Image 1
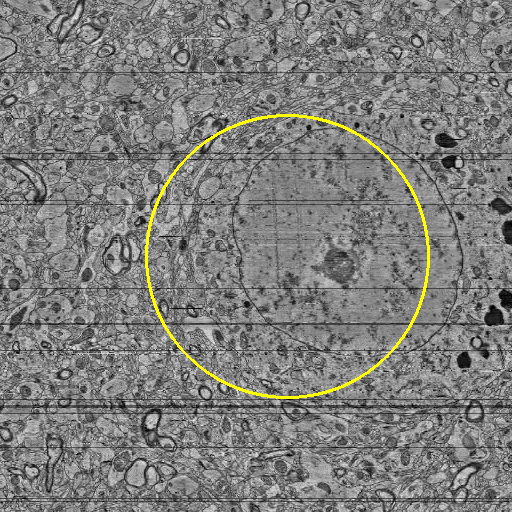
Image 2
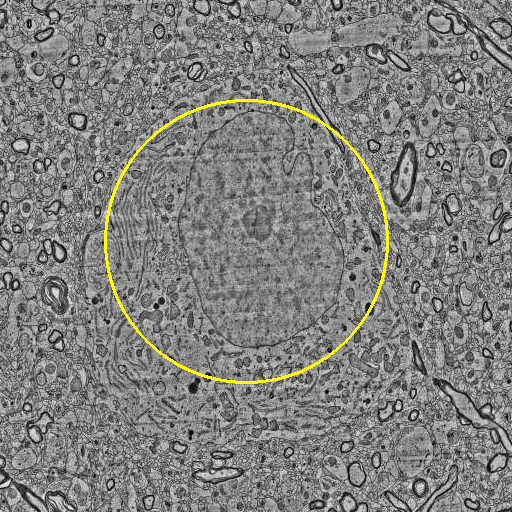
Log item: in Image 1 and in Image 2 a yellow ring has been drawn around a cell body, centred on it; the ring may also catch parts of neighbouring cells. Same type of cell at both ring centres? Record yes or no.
no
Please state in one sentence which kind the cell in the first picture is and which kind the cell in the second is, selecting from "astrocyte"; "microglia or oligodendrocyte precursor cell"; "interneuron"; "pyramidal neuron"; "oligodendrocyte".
The first ringed cell is a pyramidal neuron, the second ringed cell an interneuron.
